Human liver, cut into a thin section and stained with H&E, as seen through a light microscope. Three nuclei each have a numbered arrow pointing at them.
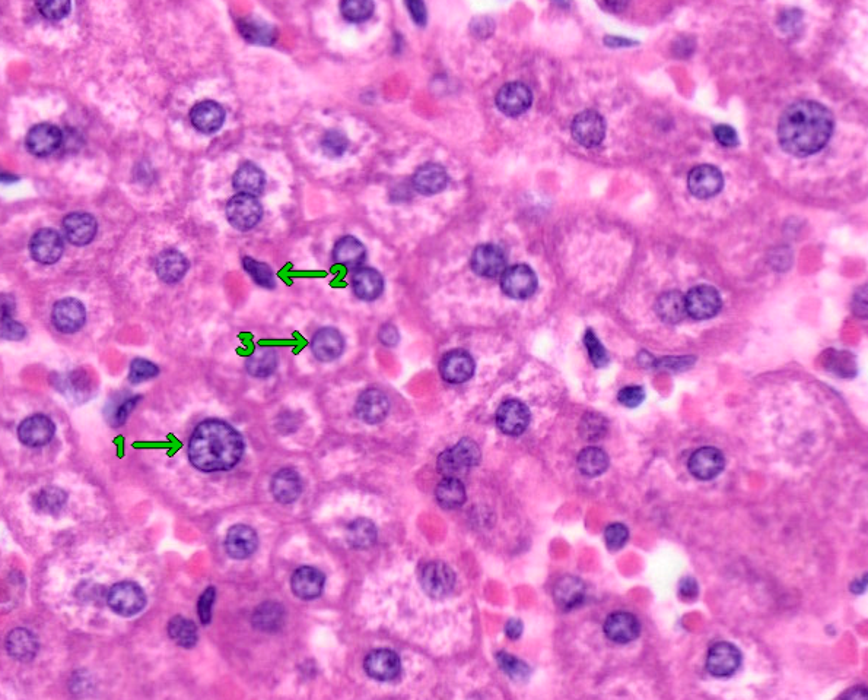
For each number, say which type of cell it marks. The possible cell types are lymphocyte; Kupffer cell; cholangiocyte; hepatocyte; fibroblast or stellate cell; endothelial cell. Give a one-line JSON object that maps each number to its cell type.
{"1": "hepatocyte", "2": "endothelial cell", "3": "hepatocyte"}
